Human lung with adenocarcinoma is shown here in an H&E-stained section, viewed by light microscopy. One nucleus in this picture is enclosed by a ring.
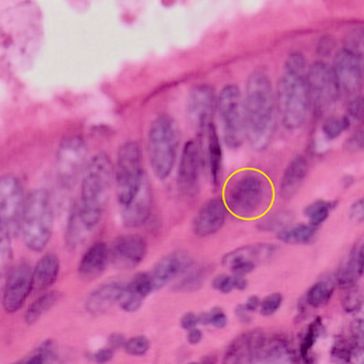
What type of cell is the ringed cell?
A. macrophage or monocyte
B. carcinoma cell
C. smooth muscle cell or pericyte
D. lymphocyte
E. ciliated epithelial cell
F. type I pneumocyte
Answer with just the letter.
E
